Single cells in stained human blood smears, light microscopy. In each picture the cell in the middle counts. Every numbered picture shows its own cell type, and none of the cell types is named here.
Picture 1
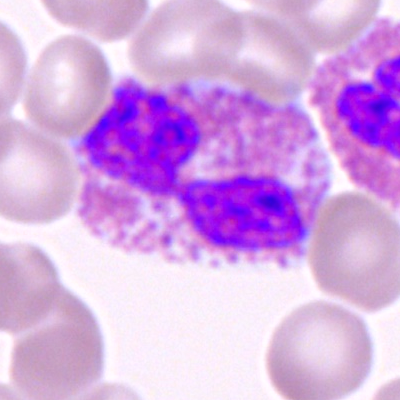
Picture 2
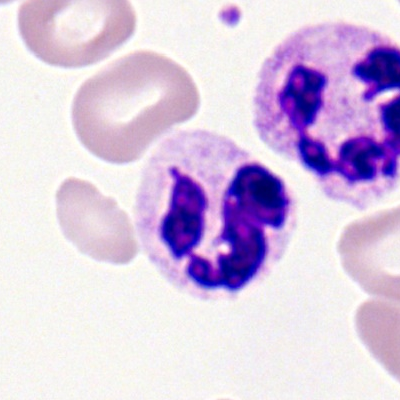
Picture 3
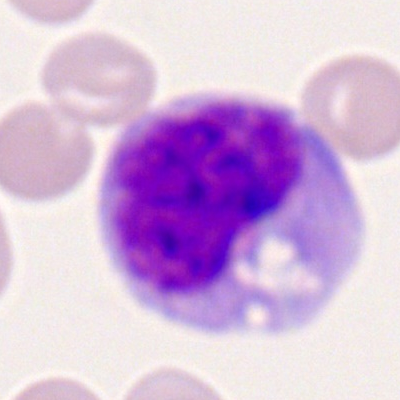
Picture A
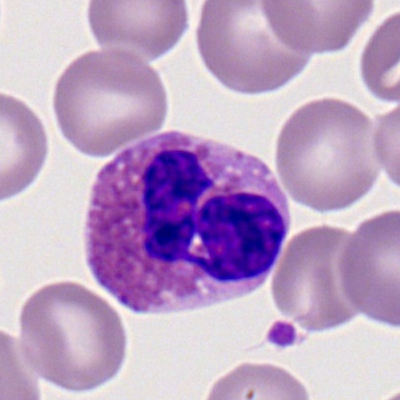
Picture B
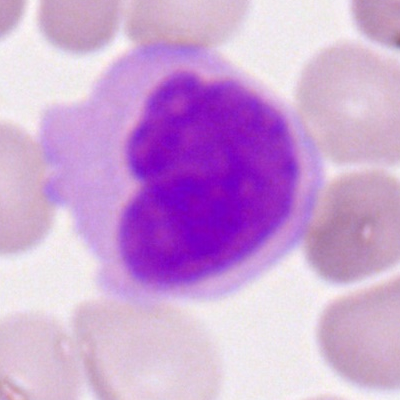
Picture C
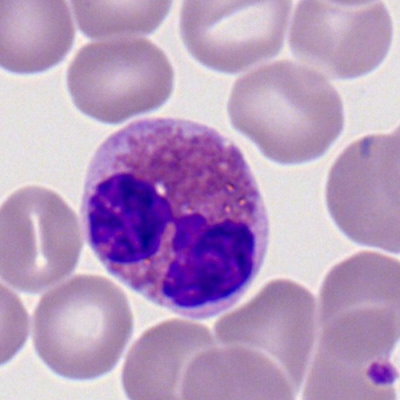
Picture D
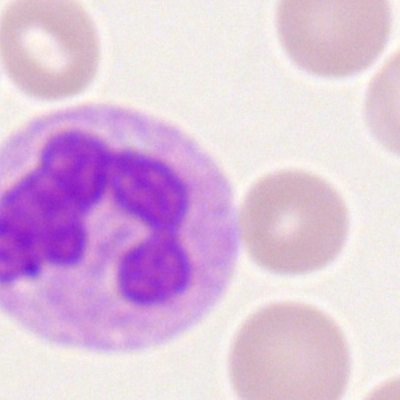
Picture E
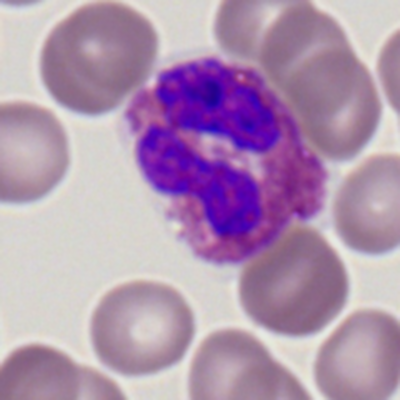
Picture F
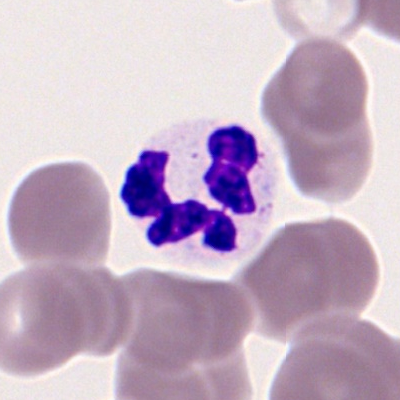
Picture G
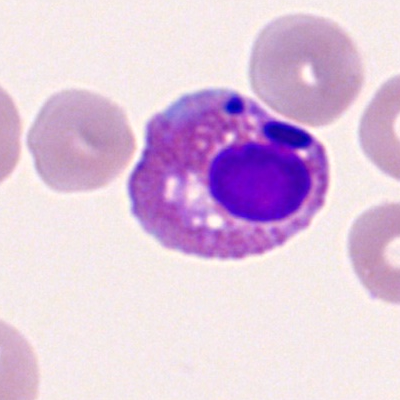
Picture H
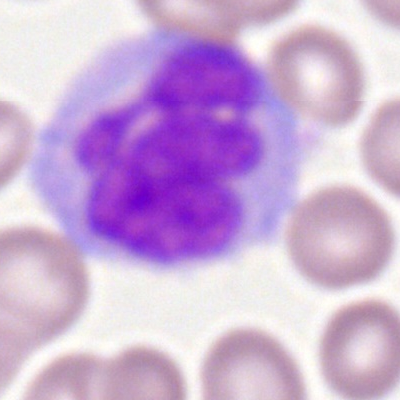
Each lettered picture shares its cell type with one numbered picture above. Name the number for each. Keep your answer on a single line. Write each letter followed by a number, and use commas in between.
A 1, B 3, C 1, D 2, E 1, F 2, G 1, H 3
